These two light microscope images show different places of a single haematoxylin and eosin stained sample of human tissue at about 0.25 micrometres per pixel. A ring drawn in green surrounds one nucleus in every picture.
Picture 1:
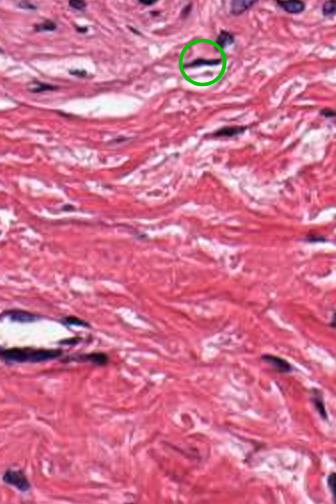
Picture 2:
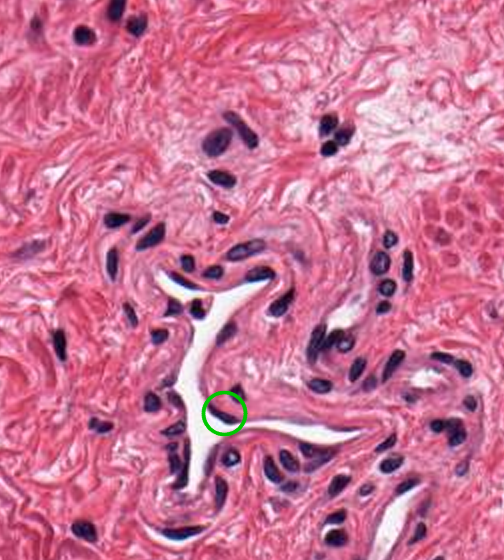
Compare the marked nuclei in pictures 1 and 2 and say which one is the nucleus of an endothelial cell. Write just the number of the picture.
2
